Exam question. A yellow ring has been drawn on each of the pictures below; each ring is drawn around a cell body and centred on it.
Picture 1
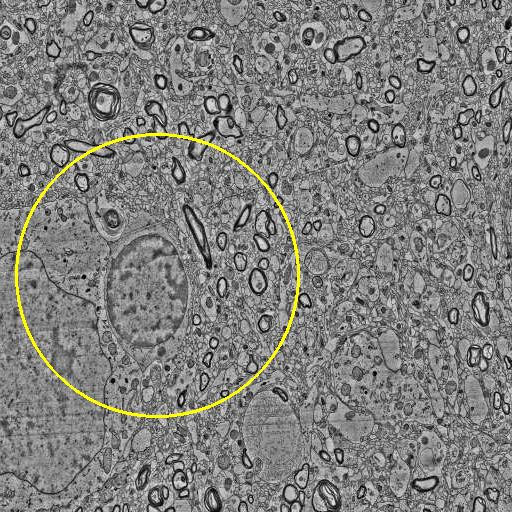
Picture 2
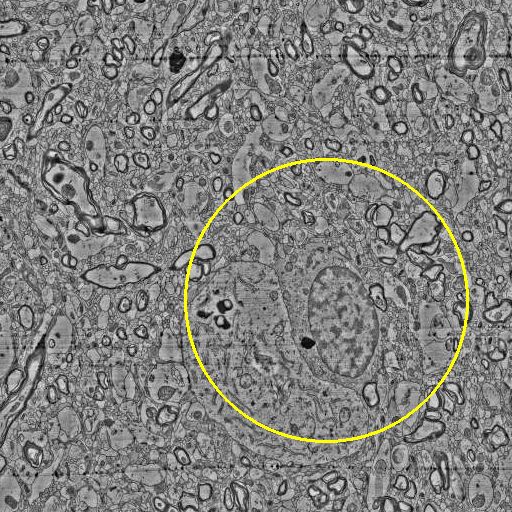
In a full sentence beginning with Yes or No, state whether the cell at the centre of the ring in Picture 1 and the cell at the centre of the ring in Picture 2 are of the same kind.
Yes, the two cells are of the same kind.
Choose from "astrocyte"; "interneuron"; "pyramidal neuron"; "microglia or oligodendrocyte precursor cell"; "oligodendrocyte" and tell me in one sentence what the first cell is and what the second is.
Each of the two cells is an oligodendrocyte.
